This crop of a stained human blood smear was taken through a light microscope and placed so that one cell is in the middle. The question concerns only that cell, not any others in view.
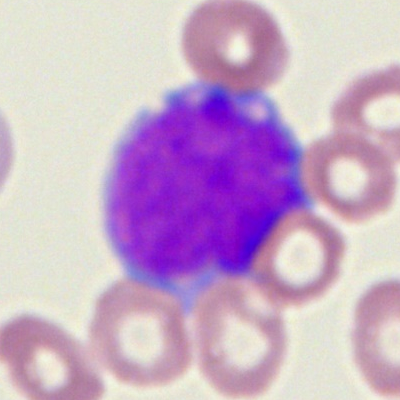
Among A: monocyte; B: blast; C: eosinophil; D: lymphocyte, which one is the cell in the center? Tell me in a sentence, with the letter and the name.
Well, the cell in the middle is a blast, making option B right.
